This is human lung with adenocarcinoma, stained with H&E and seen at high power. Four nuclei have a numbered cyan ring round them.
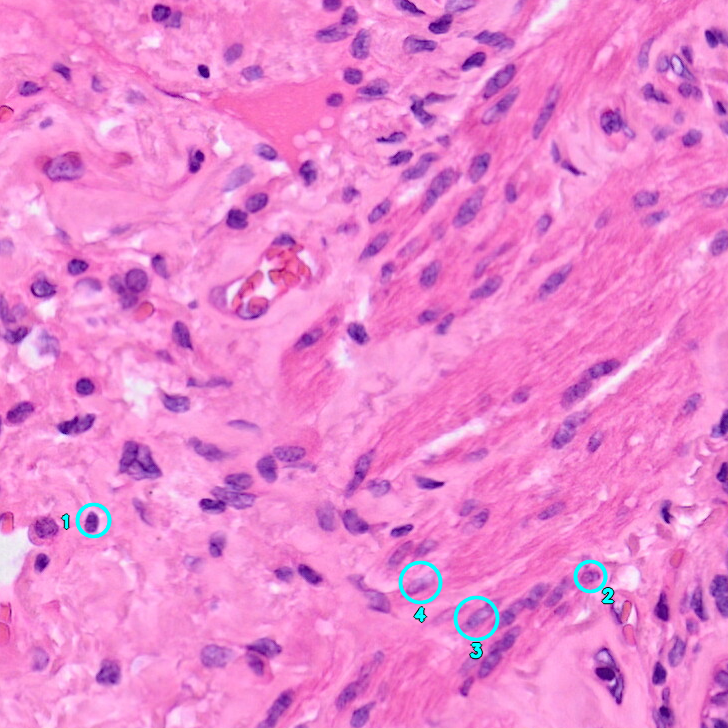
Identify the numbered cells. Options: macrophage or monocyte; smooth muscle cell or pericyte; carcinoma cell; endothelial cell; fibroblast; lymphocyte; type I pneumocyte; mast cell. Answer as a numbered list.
1. lymphocyte
2. smooth muscle cell or pericyte
3. smooth muscle cell or pericyte
4. smooth muscle cell or pericyte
